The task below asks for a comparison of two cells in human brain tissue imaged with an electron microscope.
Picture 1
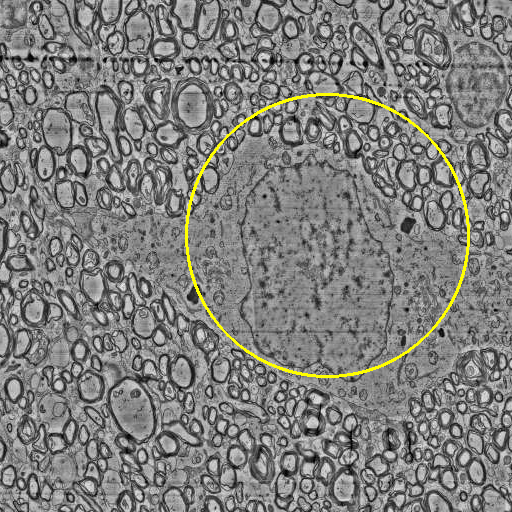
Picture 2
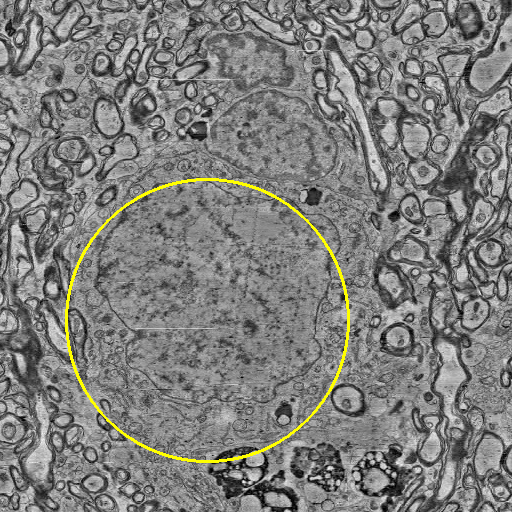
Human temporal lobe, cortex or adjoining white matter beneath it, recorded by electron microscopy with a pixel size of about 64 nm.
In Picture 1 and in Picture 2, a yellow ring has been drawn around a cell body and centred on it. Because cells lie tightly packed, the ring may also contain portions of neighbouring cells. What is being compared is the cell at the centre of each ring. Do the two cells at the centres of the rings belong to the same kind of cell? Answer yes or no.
yes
